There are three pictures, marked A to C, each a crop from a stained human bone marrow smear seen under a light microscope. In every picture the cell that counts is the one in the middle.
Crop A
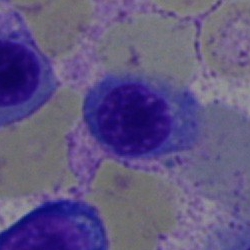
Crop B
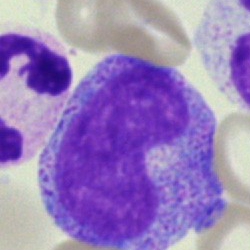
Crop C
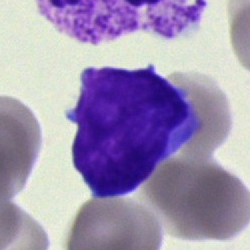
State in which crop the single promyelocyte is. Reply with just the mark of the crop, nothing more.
B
